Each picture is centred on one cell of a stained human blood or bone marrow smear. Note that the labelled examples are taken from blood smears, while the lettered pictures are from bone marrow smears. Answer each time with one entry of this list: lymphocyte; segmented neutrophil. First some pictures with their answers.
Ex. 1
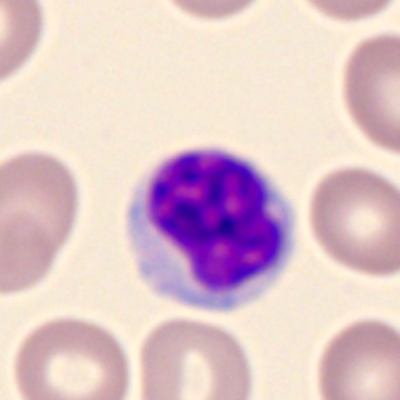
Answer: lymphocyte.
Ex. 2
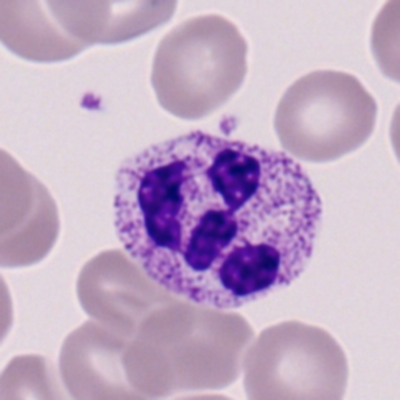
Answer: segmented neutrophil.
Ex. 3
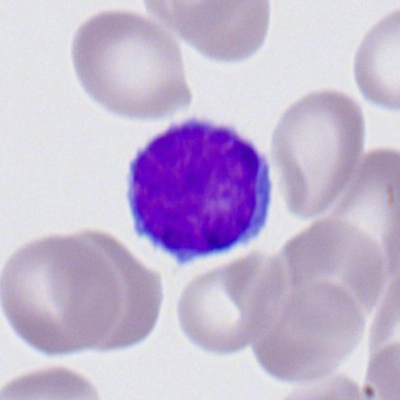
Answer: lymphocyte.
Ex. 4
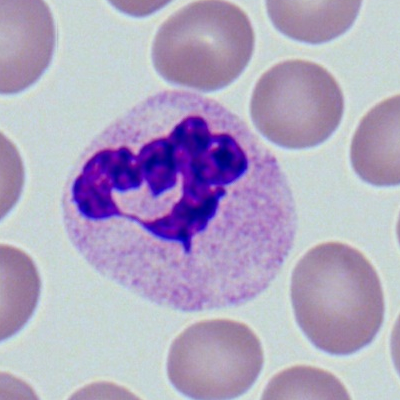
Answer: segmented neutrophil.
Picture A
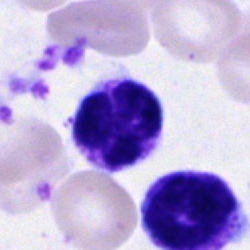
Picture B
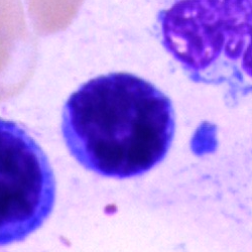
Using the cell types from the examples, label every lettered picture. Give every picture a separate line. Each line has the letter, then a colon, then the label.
A: segmented neutrophil.
B: lymphocyte.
